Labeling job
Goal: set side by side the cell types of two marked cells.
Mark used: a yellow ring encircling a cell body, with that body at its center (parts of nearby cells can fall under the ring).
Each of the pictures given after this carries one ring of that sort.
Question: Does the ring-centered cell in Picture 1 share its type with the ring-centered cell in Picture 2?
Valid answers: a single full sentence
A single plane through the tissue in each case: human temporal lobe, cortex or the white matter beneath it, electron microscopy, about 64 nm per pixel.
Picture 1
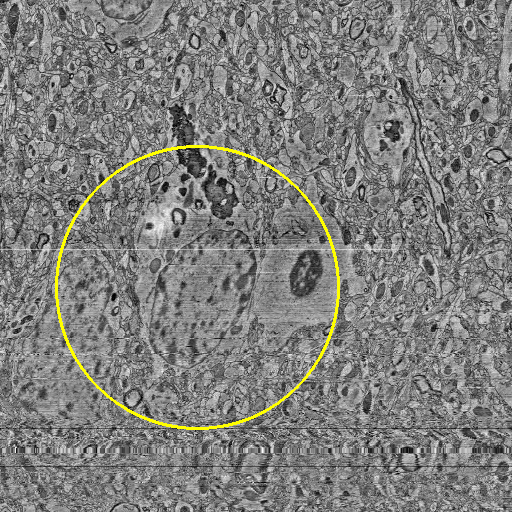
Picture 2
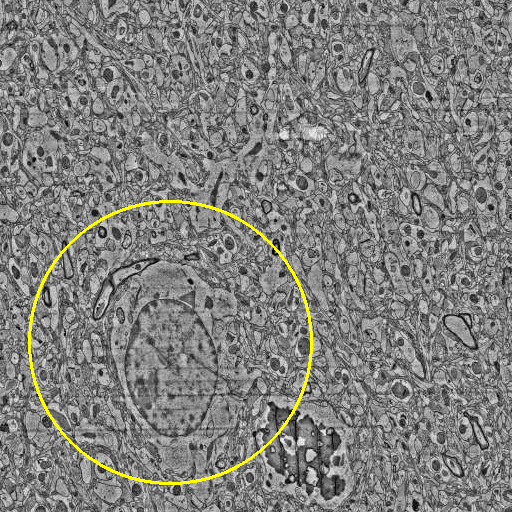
Yes, in Pictures 1 and 2 the cells at the ring centers share one type.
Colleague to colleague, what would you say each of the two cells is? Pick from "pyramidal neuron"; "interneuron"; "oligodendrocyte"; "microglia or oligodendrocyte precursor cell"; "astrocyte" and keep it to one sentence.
Both cells are the same kind, each one being an astrocyte.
